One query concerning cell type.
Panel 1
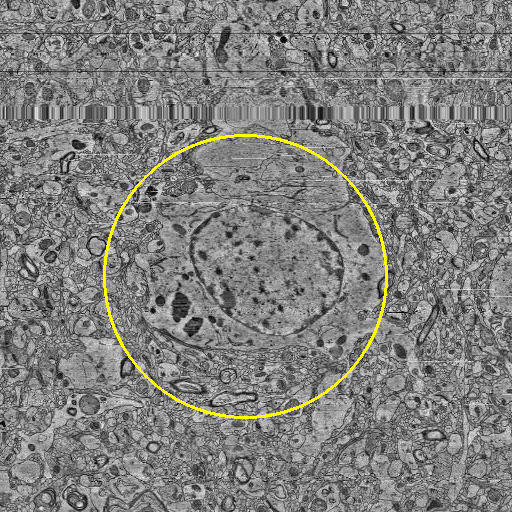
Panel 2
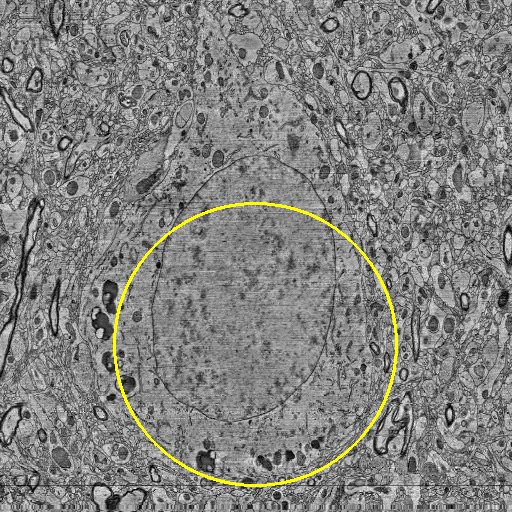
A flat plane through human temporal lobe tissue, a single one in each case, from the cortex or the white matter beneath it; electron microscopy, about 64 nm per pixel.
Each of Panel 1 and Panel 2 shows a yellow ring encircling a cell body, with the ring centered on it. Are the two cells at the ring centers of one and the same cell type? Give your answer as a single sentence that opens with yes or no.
No, the cell centered in Panel 1 and the one in Panel 2 are of two types.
